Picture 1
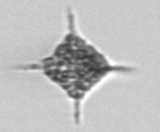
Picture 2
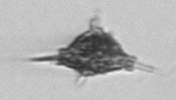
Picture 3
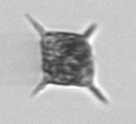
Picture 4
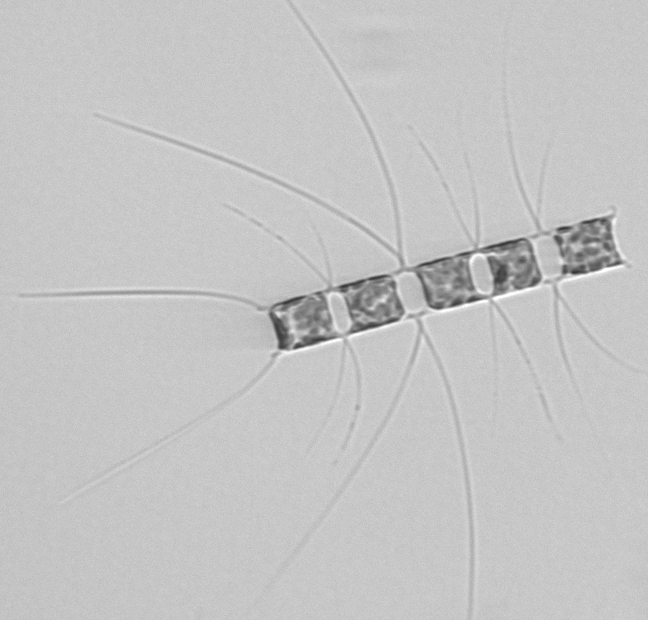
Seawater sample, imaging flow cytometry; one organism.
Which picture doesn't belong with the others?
Picture 4.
